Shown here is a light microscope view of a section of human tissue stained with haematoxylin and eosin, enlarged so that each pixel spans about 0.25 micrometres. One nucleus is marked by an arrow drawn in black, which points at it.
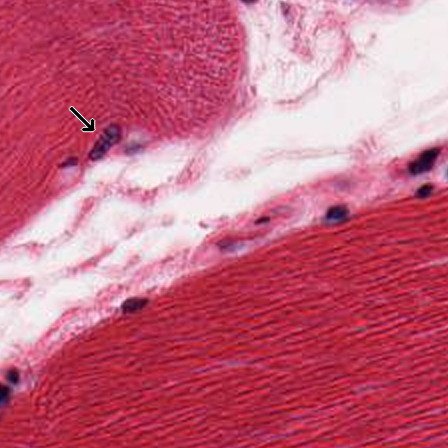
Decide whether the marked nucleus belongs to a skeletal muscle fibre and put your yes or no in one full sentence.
Yes, the marked nucleus is present within a skeletal muscle fibre.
